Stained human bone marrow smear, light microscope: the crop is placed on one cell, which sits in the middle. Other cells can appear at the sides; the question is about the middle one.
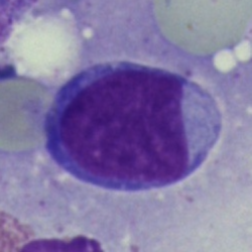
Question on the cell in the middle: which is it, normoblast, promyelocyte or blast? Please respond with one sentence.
Here the centrally located cell is a blast.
